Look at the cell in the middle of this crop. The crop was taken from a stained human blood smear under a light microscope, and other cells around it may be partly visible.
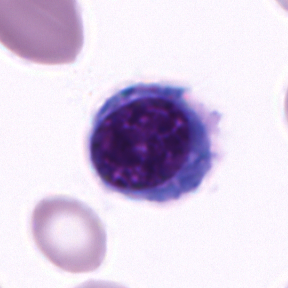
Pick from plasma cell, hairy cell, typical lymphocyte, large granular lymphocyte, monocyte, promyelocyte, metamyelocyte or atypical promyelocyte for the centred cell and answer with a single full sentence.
Where the crop is centred, there is a plasma cell.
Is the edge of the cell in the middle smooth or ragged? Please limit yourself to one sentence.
Projections or ragged segments give this cell an irregular rather than smooth border.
